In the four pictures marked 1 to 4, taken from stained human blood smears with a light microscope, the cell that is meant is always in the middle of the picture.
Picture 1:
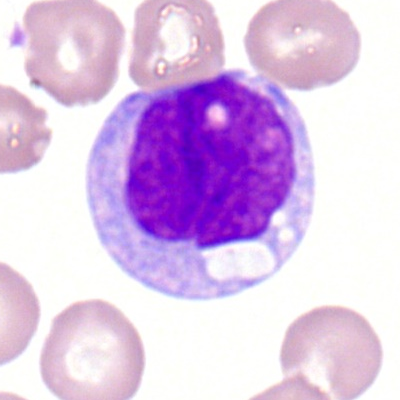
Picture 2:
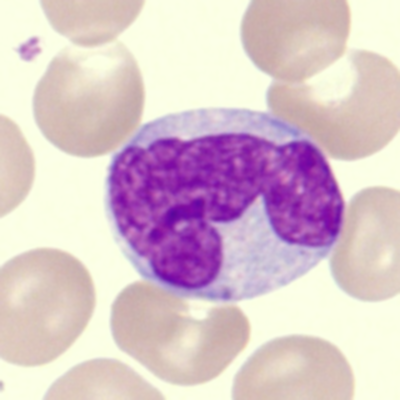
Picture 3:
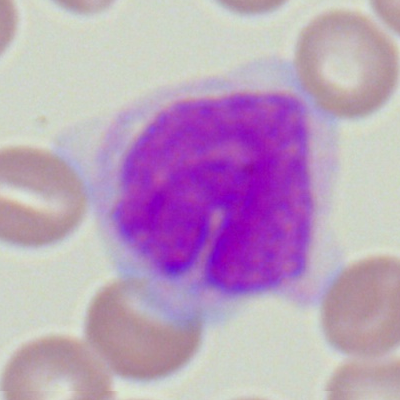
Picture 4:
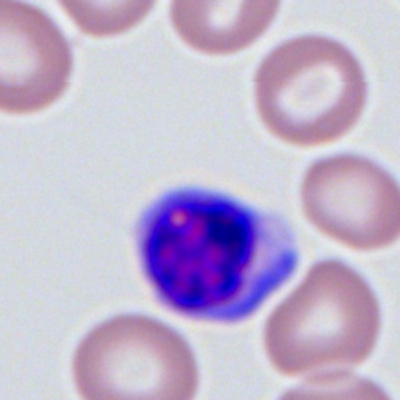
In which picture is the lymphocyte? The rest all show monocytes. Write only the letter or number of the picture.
4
